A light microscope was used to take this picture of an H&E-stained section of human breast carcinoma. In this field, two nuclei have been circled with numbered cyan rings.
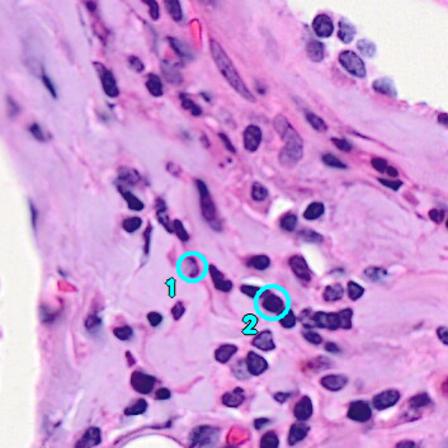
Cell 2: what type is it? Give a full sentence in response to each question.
Cell 2 in the field of view is a lymphocyte.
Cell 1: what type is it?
In this section, the cell tagged 1 is a mast cell.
